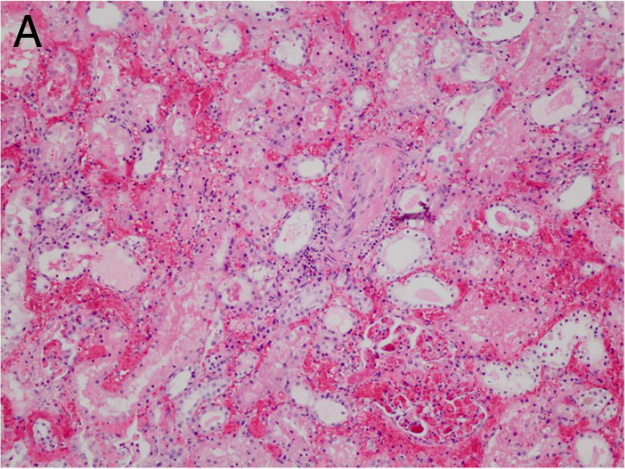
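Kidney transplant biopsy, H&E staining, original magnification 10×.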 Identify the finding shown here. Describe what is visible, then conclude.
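Large sheets of bright red erythrocytes fill the spaces between tubules. Tubules stand isolated within the red-filled interstitium.
Conclusion: Severe hemorrhage of the cortex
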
